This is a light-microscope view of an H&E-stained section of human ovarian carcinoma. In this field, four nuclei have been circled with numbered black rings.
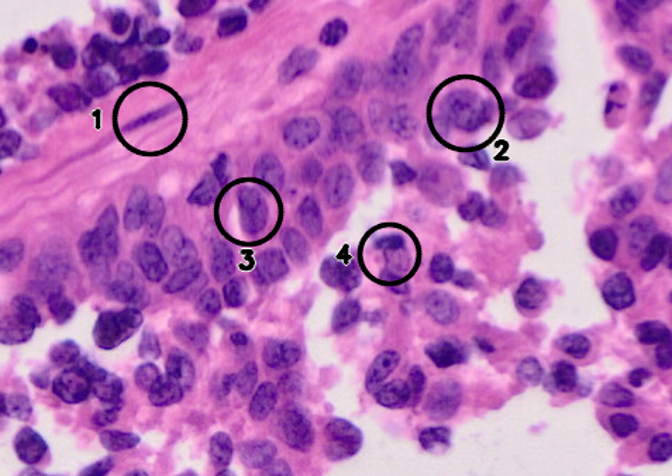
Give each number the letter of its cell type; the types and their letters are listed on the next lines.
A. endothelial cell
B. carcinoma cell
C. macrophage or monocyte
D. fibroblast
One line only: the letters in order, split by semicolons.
D; B; B; C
